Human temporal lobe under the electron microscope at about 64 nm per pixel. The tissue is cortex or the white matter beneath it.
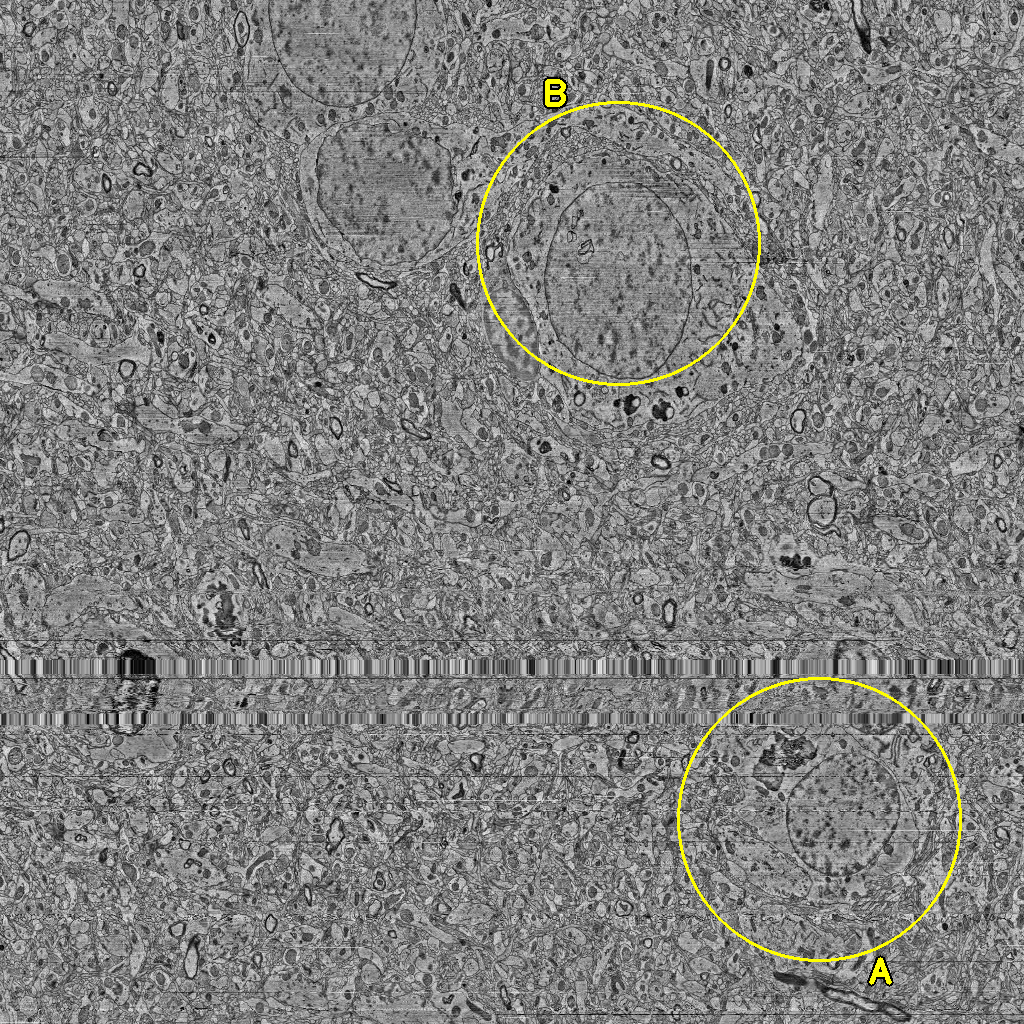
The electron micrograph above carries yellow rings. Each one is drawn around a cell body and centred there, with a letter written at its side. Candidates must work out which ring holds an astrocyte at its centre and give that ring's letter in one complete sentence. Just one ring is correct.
Letter A marks the ring whose centre holds that kind of cell.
